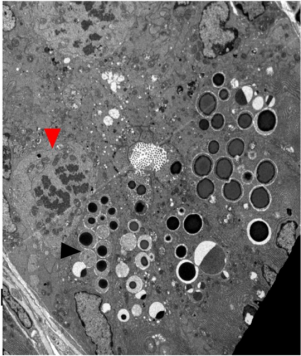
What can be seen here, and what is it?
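This electron micrograph shows the base of an intestinal crypt, where Paneth cells are packed with many round secretory granules. The granules vary in appearance: most have a dense dark core, and some have a pale halo or a pale, flocculent interior. To the left, one cell's chromatin is condensed into dark clumps, in keeping with a cell in mitosis. Nuclei with darker peripheral chromatin sit among the granule-filled cytoplasm, and pale connective tissue bands run along the outer edge.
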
